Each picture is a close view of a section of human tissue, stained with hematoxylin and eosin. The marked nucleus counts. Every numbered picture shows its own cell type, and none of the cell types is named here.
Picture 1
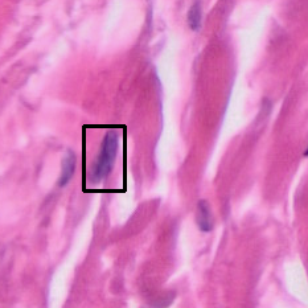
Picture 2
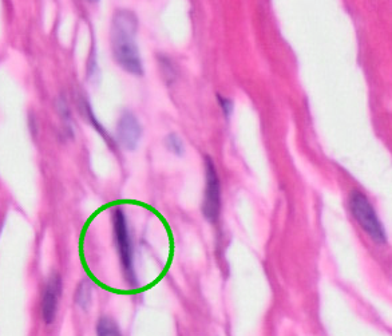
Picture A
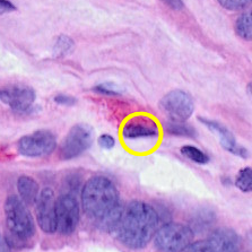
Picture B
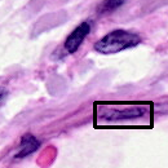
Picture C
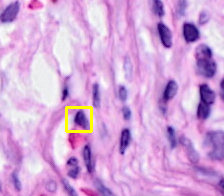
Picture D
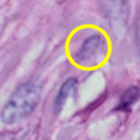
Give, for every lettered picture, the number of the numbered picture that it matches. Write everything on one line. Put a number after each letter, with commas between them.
A 2, B 2, C 2, D 1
